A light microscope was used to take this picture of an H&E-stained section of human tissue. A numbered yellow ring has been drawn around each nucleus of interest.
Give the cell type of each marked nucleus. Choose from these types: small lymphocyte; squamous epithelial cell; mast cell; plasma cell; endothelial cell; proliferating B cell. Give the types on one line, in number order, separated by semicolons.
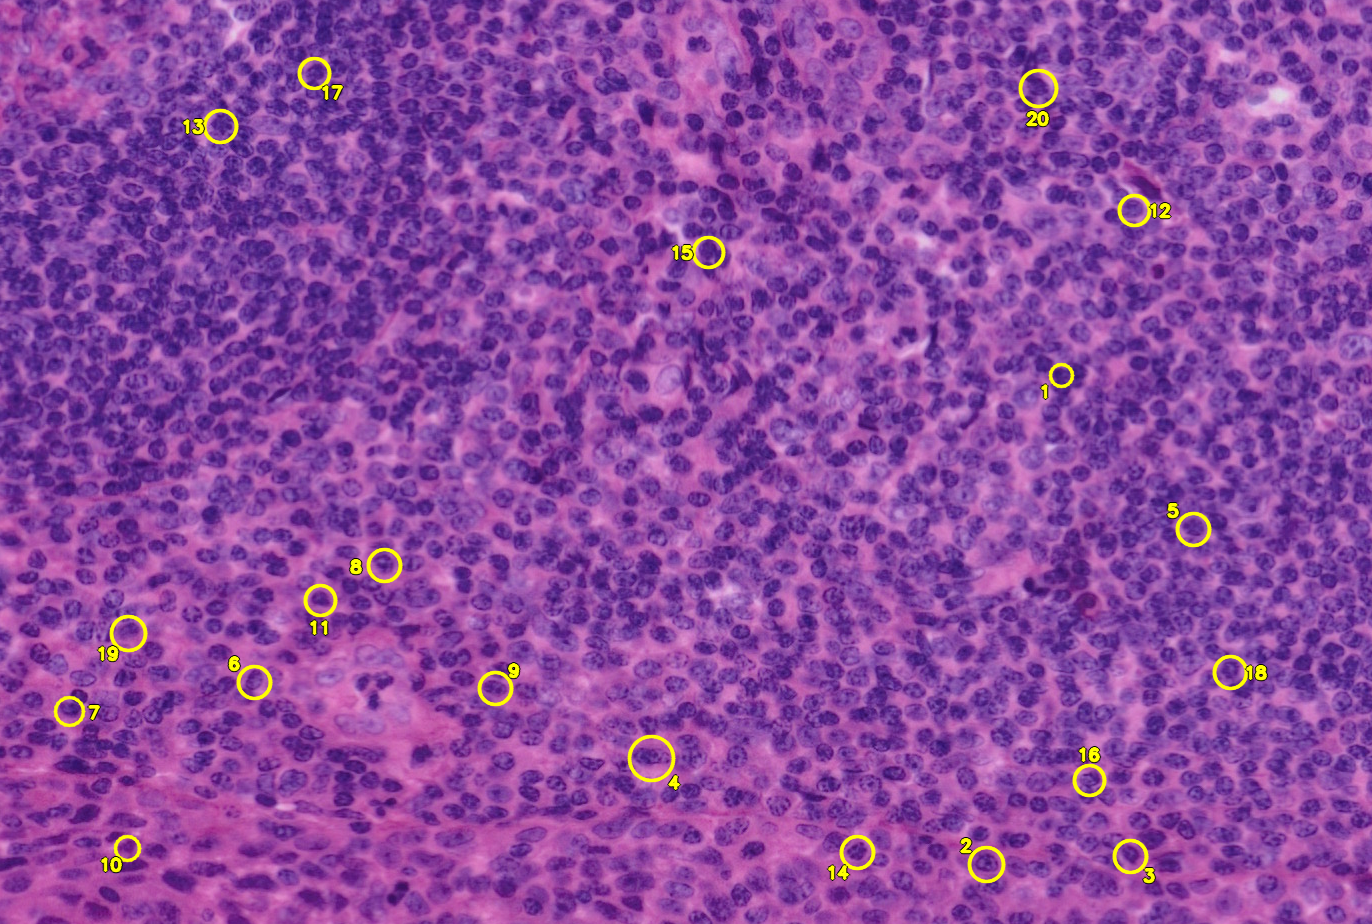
small lymphocyte; plasma cell; plasma cell; plasma cell; small lymphocyte; plasma cell; plasma cell; plasma cell; plasma cell; squamous epithelial cell; plasma cell; small lymphocyte; small lymphocyte; plasma cell; small lymphocyte; small lymphocyte; small lymphocyte; small lymphocyte; plasma cell; small lymphocyte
